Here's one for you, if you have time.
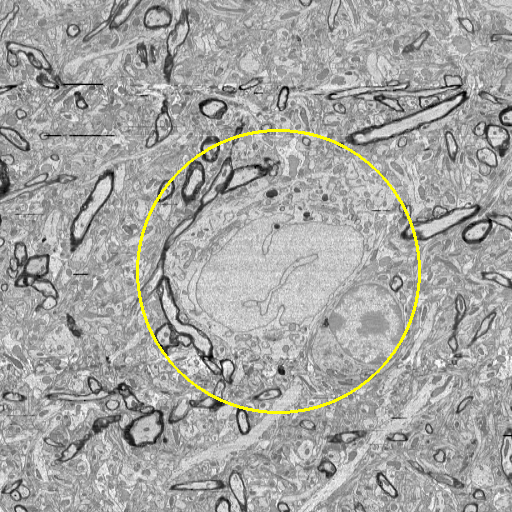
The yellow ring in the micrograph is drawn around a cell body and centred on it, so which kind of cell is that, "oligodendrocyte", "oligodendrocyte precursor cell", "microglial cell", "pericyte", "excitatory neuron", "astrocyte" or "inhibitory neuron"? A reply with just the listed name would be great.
inhibitory neuron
